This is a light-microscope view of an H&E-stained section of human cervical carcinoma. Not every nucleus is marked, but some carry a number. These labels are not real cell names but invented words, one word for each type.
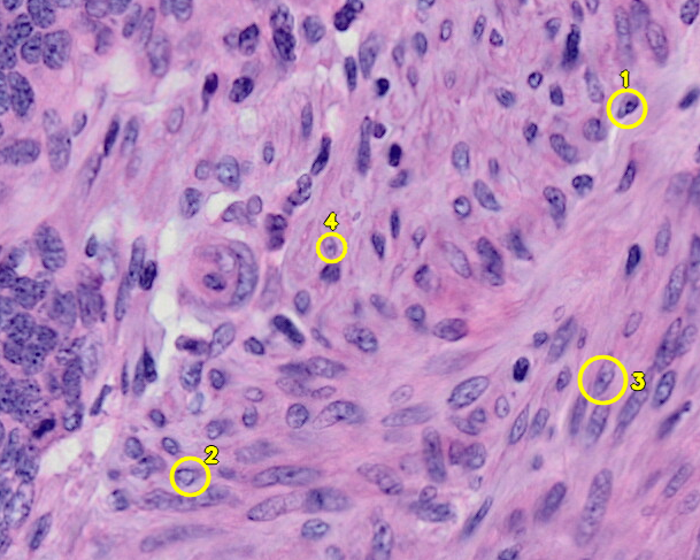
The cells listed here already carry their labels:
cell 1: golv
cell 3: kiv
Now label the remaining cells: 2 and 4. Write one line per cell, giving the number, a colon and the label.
2: kiv
4: kiv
